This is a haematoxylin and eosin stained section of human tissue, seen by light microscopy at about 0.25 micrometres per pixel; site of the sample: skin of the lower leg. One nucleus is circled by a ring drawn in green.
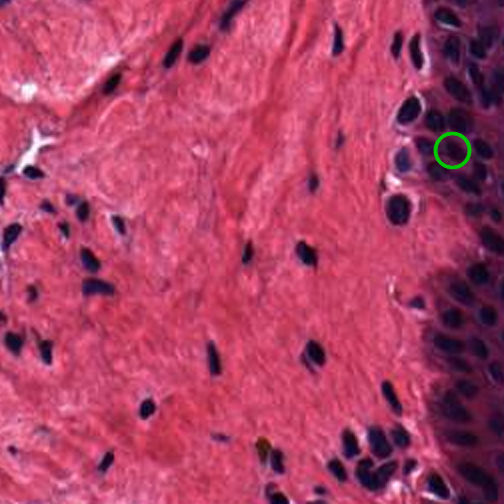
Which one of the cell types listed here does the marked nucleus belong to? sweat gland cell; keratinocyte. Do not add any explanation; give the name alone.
keratinocyte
